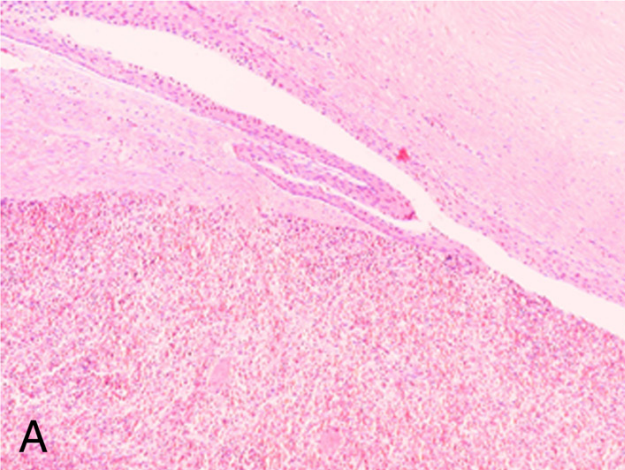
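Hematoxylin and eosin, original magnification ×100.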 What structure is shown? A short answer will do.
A: An epidermoid cyst.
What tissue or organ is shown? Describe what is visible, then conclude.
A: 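The lower half is densely cellular and deeply red. Small round cells are packed together with red blood cells throughout it.
Hence: spleen parenchyma.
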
